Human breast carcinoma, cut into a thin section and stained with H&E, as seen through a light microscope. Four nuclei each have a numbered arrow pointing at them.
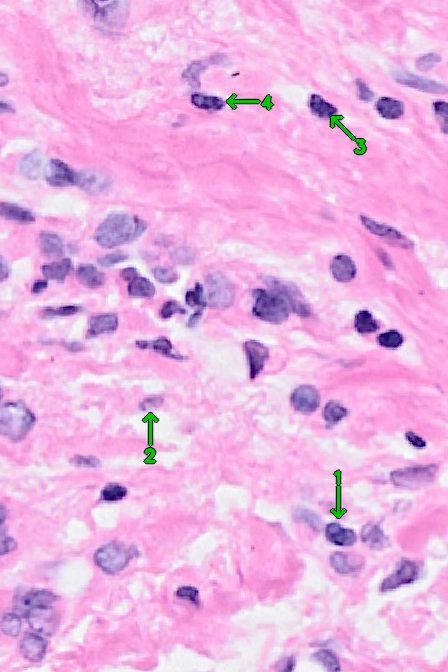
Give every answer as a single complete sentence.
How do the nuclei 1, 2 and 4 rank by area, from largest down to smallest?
The nuclei rank 1, 4, 2, from largest to smallest.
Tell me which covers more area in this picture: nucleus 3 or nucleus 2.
It is nucleus 3, which covers about 1.5 times the area of nucleus 2.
